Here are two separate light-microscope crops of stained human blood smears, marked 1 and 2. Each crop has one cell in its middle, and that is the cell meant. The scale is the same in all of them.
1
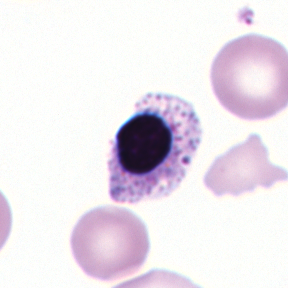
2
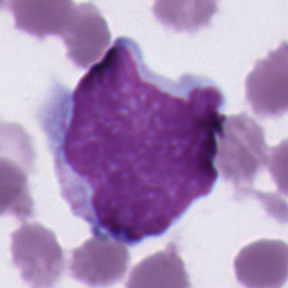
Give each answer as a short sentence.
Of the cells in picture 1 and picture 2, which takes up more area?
Larger is the cell in picture 2, at roughly 4 times the area of the other.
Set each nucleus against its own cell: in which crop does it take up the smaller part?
The nucleus fills less of the cell in picture 1 than in picture 2.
